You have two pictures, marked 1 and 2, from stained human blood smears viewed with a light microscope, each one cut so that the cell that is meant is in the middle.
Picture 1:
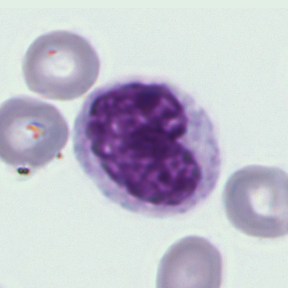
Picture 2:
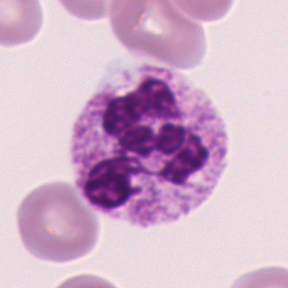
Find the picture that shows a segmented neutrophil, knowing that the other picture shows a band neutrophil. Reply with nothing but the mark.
2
